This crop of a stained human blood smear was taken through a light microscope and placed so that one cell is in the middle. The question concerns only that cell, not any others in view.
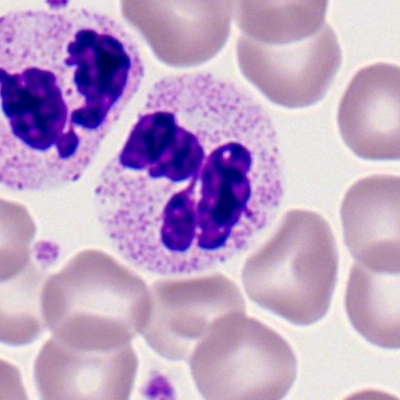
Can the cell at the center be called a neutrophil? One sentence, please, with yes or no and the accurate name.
Yes, the cell found in the center of the crop is a neutrophil.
